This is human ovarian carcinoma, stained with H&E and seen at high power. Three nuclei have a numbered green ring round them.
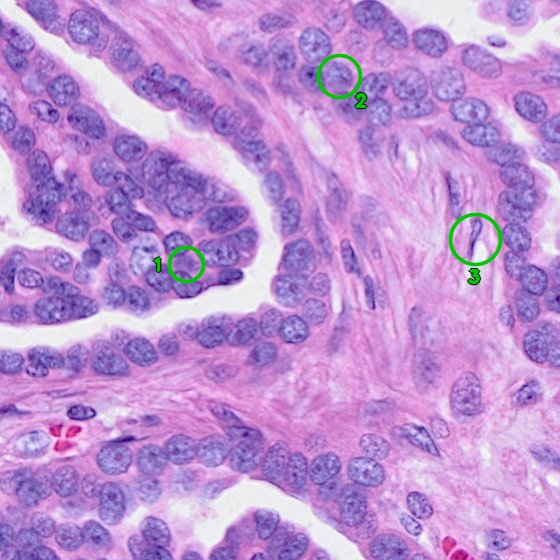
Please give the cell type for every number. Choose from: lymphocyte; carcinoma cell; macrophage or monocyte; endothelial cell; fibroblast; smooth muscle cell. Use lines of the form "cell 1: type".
cell 1: carcinoma cell
cell 2: carcinoma cell
cell 3: fibroblast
